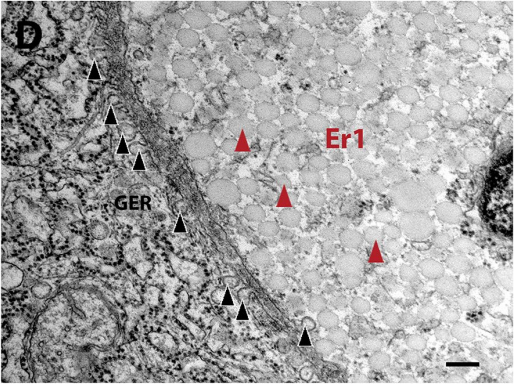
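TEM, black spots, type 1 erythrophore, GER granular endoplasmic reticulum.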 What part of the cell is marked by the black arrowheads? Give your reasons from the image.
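Small round or flask-shaped membrane pits line the boundary between two cells. They lie along the plasma membrane, not deep in the cytoplasm.
Hence: caveolae.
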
